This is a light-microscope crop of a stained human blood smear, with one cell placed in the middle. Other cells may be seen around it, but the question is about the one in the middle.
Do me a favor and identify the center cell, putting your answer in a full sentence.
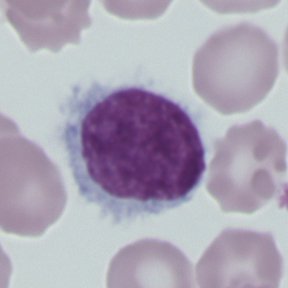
The cell found in the middle of this crop is a hairy cell.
